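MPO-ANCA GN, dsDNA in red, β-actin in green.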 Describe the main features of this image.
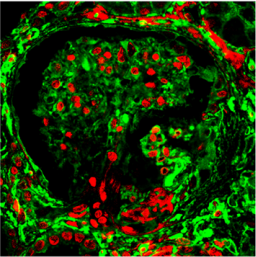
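This is kidney tissue with a glomerulus in the centre: a rounded tuft crowded with red nuclei in green-stained cell bodies. Around the tuft lies a dark, empty space, bounded by a curved rim that forms the capsule of the glomerulus. Outside it the surrounding tissue is densely green with many red nuclei, some round and some elongated. The tuft is irregular in outline and partly pulled away from the capsule, and red material appears not only as discrete nuclei but also as streaks lying between cells near the capsule and around the glomerulus.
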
